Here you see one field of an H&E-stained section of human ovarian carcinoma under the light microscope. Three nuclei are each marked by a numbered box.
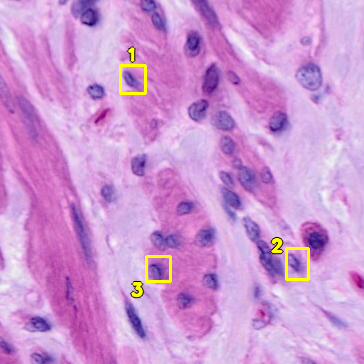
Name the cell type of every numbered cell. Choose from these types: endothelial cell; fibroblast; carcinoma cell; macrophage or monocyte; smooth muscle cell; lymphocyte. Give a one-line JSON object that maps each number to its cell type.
{"1": "smooth muscle cell", "2": "endothelial cell", "3": "smooth muscle cell"}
